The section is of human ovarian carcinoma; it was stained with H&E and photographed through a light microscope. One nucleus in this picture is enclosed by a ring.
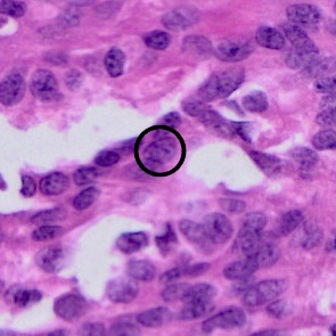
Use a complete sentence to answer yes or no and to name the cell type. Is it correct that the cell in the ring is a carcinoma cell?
Yes, when classified by type, the cell in the ring is a carcinoma cell.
